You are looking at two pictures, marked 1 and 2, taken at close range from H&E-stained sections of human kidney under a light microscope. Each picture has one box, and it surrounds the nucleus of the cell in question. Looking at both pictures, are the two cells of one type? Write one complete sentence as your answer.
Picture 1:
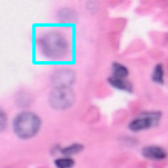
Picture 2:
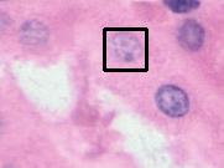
No, picture 1 shows a collecting duct cell and picture 2 shows a proximal tubule cell.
